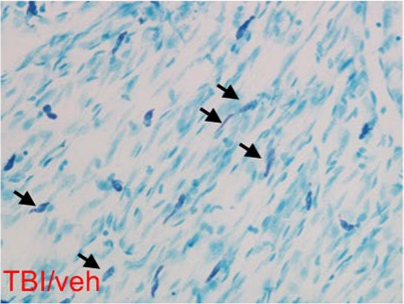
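The background consists of numerous pale blue, elongated, spindle-shaped nuclei that run roughly in parallel, giving a streaming, fibrous arrangement. Scattered among them are larger oval to elongated cells stained an intense dark blue-purple, which are intact mast cells packed with granules. Several other cells of similar size and shape, marked by arrows, stain only faintly and look blotchy, consistent with mast cells that have released much of their granule content. No clear layering is seen; the mast cells are distributed singly through the tissue.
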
